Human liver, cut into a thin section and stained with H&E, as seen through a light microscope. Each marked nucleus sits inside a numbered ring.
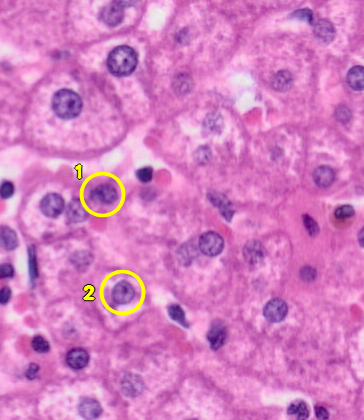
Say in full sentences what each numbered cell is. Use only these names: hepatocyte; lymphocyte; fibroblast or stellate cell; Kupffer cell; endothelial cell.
Cell 1 is a Kupffer cell and cell 2 is a hepatocyte.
